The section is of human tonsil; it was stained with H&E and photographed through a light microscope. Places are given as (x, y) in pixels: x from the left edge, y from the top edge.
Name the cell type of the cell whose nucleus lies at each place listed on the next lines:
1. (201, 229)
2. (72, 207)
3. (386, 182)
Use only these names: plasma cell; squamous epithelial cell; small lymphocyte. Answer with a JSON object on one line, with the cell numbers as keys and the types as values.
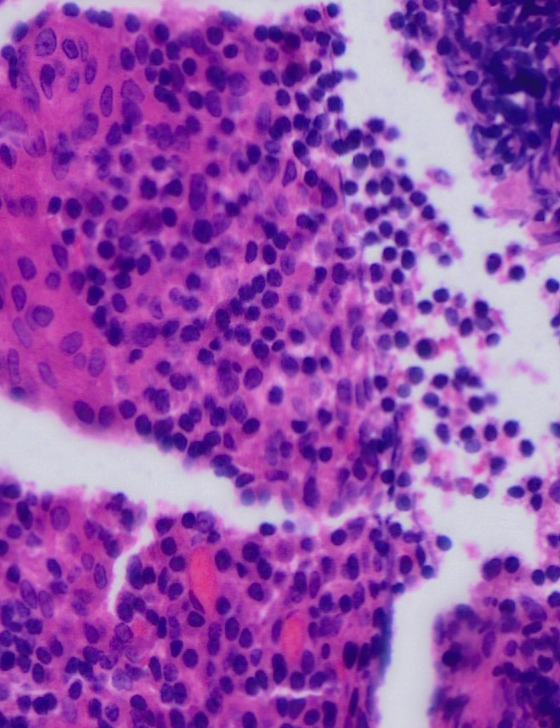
{"1": "squamous epithelial cell", "2": "plasma cell", "3": "small lymphocyte"}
